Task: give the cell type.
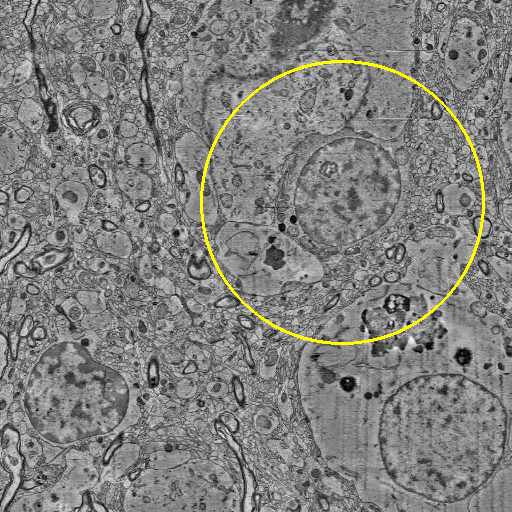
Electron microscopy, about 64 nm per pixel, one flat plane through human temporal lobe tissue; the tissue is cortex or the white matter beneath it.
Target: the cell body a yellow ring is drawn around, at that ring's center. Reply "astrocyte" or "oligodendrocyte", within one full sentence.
In this picture, the cell whose body lies at the ring's center is an oligodendrocyte.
